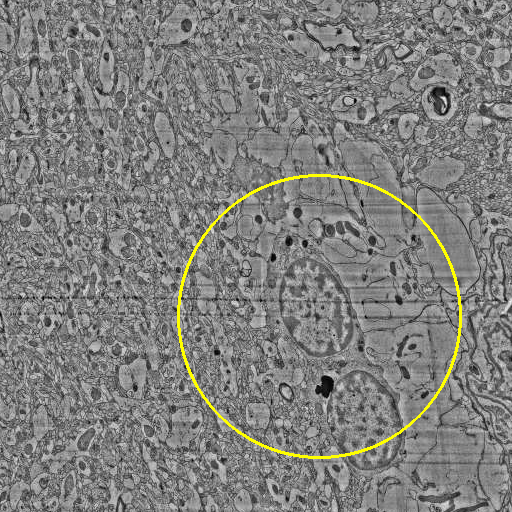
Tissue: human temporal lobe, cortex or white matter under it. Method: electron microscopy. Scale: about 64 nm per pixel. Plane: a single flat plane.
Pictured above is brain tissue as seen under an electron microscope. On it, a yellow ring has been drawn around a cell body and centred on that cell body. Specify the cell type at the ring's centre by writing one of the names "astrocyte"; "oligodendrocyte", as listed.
oligodendrocyte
